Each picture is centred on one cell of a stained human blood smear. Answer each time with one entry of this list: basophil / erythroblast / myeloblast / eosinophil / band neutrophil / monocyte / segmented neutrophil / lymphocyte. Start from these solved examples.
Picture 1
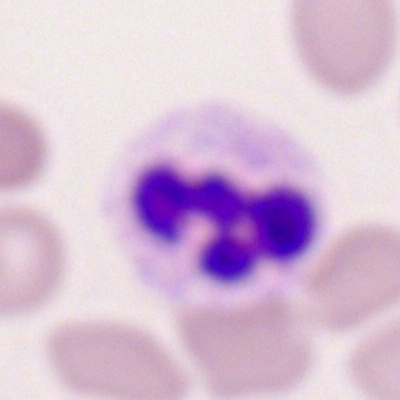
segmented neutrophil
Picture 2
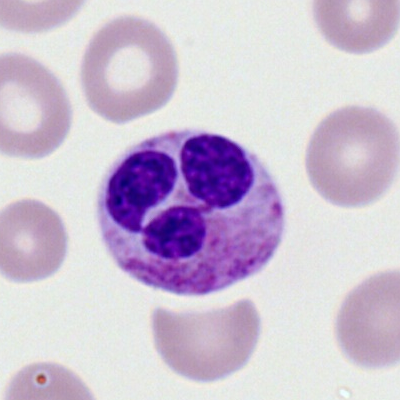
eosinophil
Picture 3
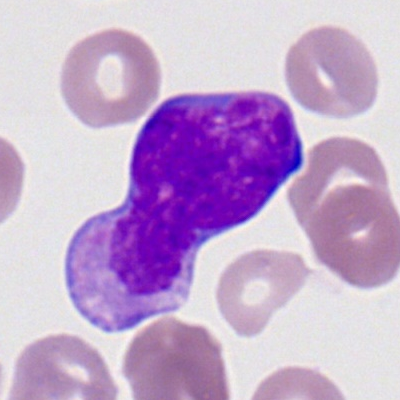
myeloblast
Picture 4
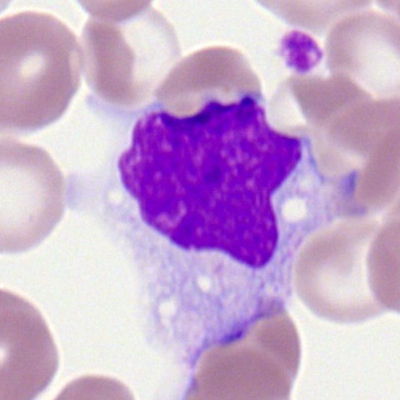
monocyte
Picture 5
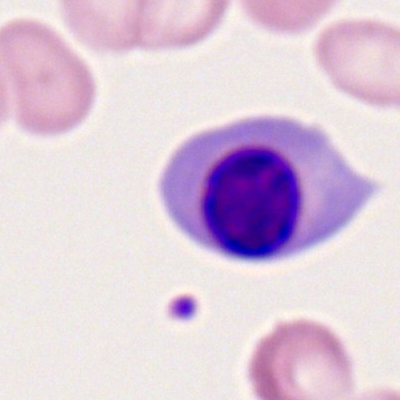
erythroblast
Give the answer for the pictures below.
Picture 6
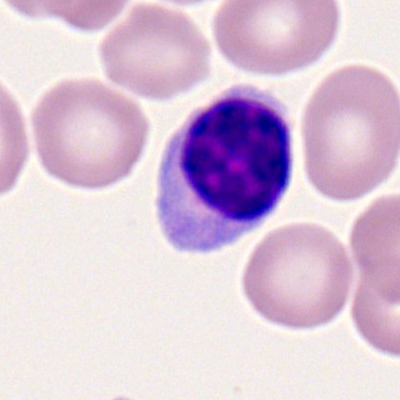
erythroblast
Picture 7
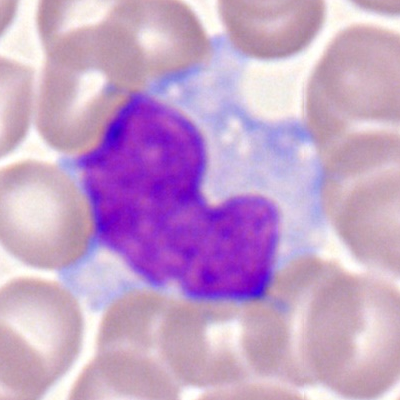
monocyte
